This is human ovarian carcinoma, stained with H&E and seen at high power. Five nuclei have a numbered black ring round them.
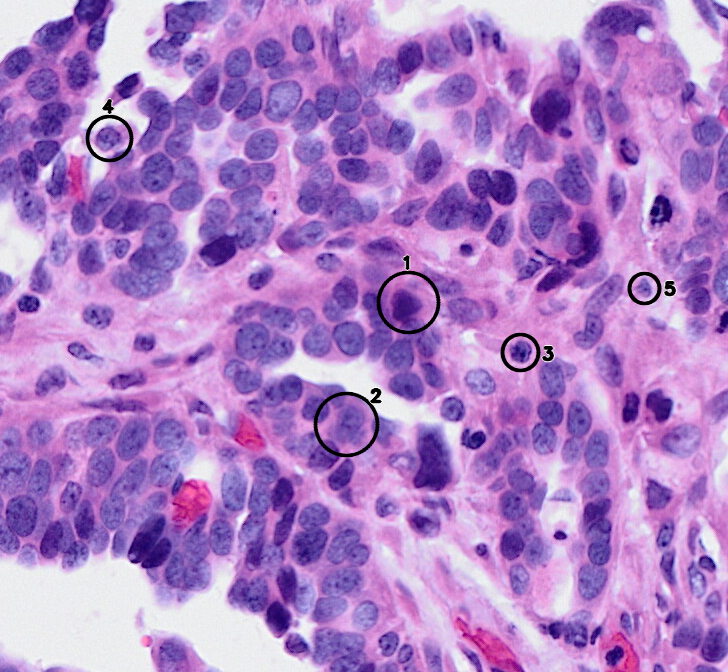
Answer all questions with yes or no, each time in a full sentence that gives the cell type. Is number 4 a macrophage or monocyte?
Yes, the cell that the number 4 labels is a macrophage or monocyte.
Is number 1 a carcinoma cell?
Yes, and to answer plainly, cell 1 is a carcinoma cell.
